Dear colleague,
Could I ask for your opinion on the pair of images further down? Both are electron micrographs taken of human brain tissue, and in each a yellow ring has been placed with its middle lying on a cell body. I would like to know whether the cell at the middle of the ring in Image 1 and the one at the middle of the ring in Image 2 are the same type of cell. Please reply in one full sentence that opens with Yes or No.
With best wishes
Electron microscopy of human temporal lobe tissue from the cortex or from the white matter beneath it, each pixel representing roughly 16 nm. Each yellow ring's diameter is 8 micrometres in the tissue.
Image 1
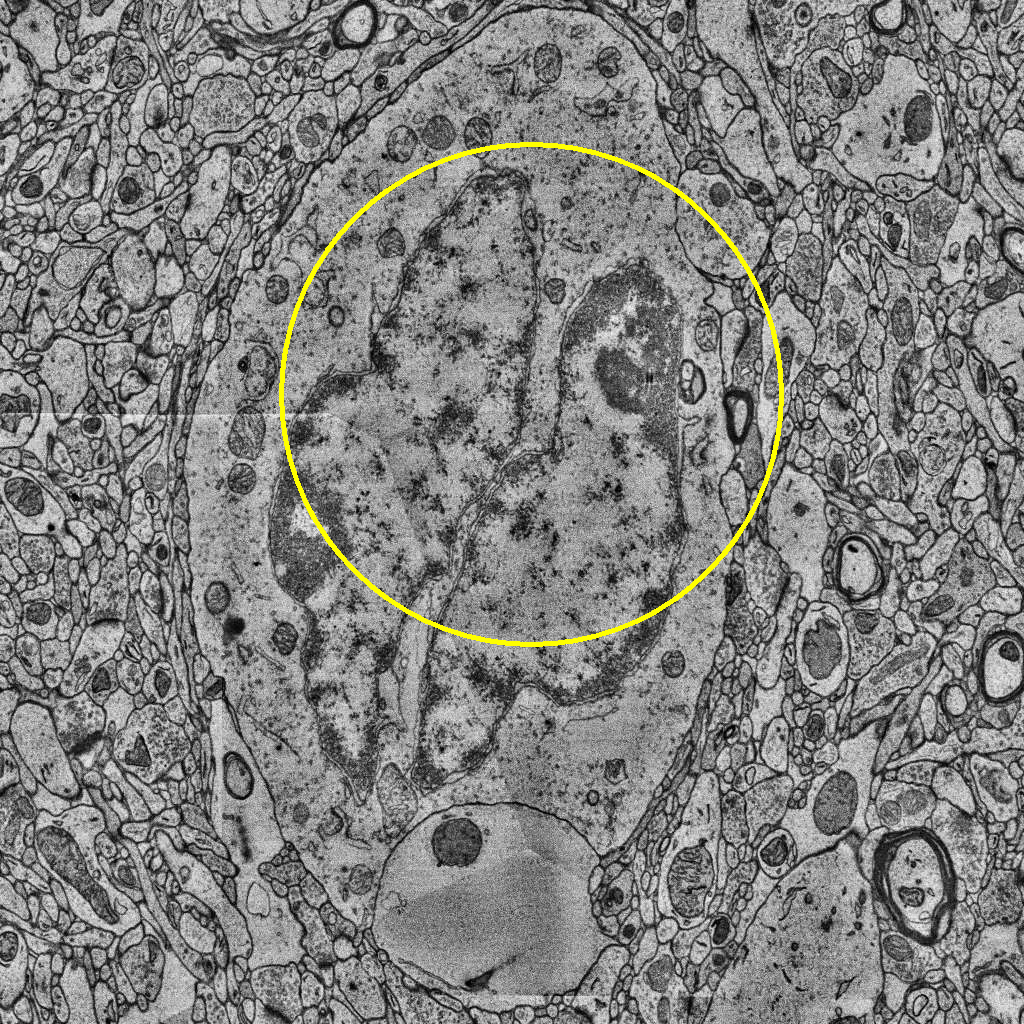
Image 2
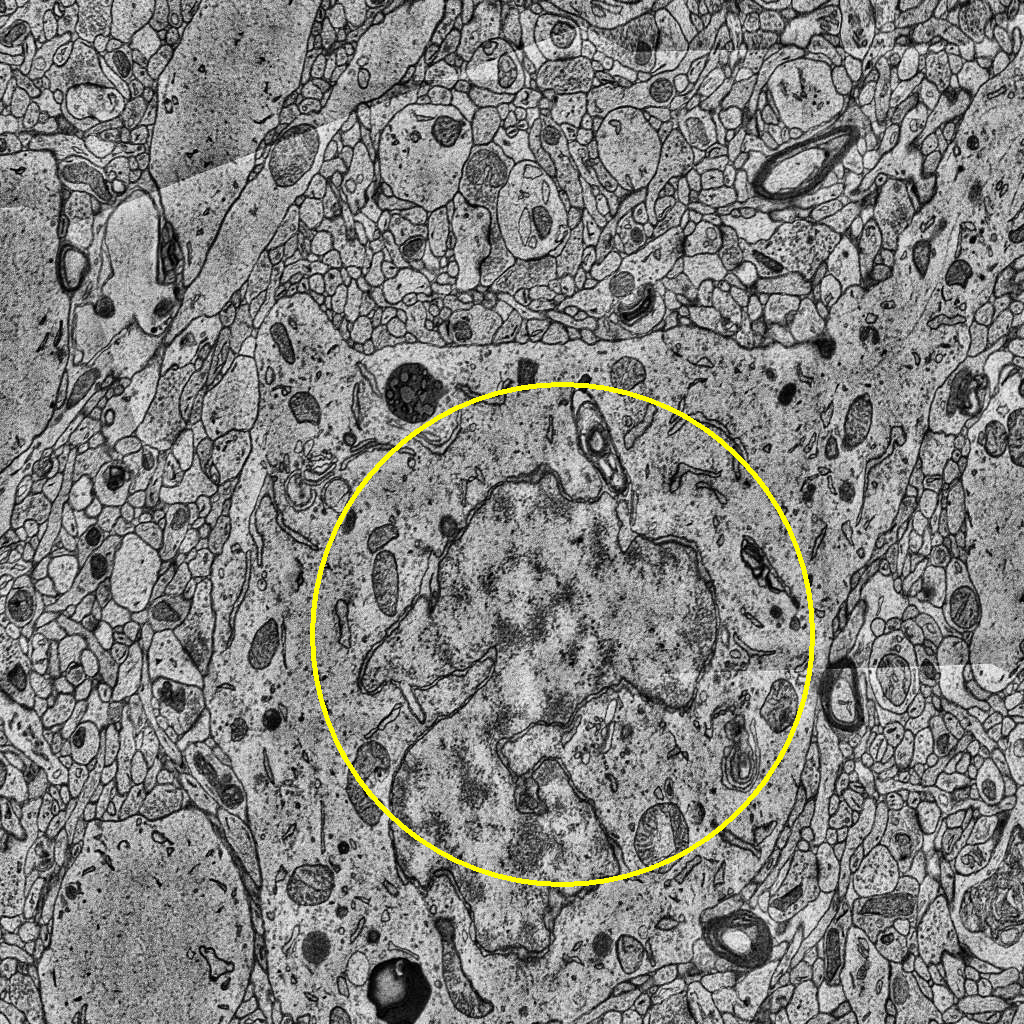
Yes, the cells at the ring centres in Image 1 and Image 2 are of one type.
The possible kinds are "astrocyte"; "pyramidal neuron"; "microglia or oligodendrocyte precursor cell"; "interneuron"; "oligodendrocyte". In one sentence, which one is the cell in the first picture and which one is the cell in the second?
Each of the two rings surrounds an interneuron.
